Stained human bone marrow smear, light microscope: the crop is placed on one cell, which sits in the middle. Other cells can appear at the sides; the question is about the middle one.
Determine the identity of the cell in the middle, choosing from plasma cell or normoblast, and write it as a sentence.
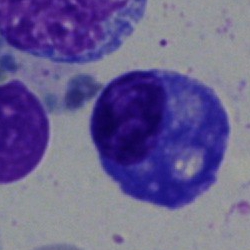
The cell marked by its central position in the crop is a plasma cell.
